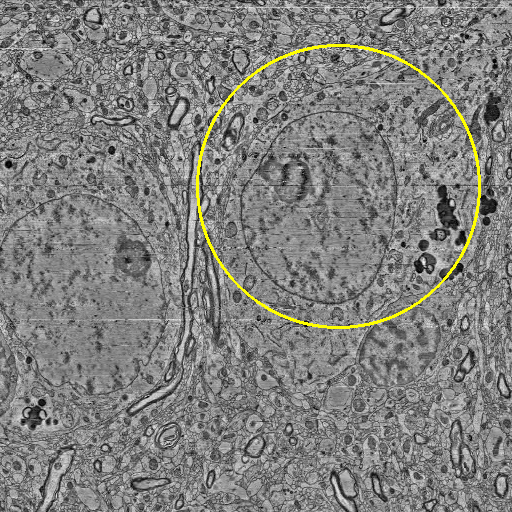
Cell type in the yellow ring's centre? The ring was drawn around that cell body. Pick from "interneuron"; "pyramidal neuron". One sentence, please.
The ringed cell body is that of a pyramidal neuron.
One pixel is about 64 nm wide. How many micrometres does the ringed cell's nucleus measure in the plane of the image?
Roughly 13 by 10 micrometres in this plane, for the nucleus of the ringed cell.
